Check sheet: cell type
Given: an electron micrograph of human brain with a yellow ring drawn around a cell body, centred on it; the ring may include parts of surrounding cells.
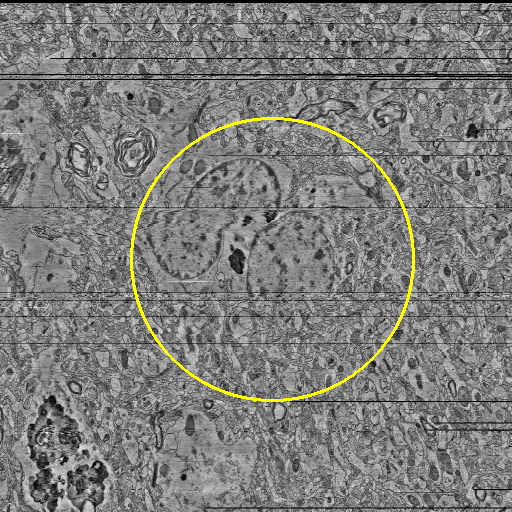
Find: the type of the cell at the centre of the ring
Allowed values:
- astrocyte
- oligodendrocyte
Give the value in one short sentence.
Here the ringed cell is an astrocyte.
